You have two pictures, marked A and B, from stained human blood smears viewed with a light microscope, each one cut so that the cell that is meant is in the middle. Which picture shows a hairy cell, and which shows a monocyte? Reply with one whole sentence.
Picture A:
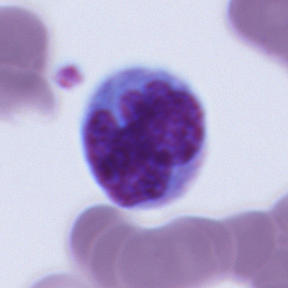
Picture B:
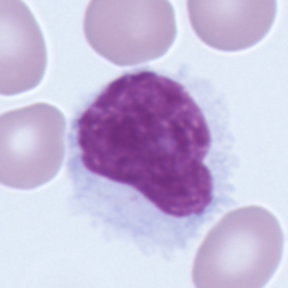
The cell in picture A is a monocyte, and the one in picture B is a hairy cell.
